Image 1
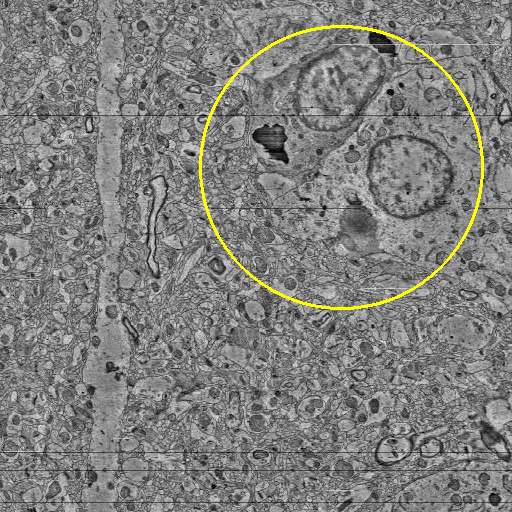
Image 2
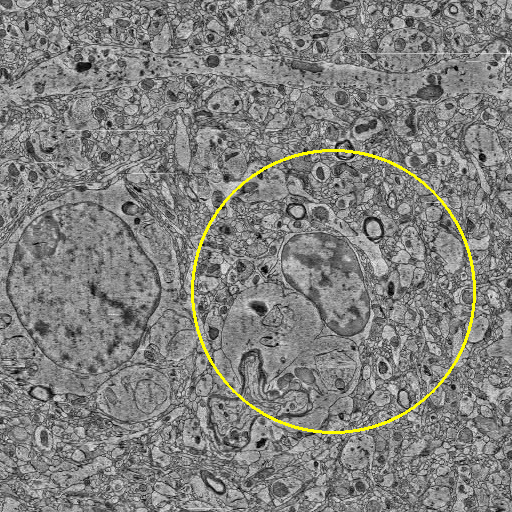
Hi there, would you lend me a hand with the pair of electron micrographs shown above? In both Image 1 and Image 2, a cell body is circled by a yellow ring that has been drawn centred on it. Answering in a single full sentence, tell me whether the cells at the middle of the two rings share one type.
No, the ringed cells in Image 1 and Image 2 belong to two types.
